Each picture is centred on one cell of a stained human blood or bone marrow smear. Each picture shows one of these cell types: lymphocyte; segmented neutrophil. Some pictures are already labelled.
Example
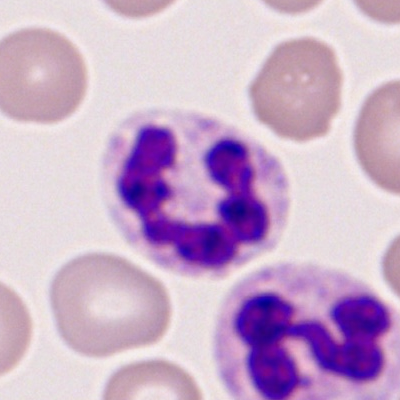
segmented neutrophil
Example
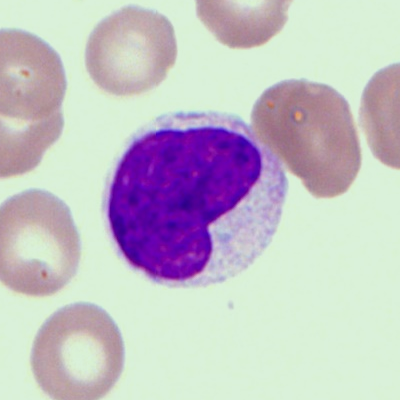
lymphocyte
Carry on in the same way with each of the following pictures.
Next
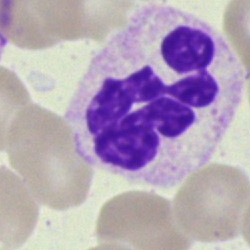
segmented neutrophil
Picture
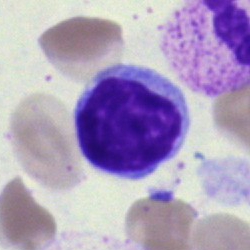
lymphocyte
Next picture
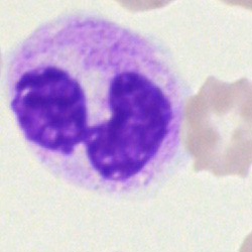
segmented neutrophil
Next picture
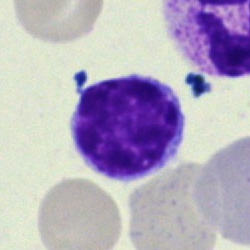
lymphocyte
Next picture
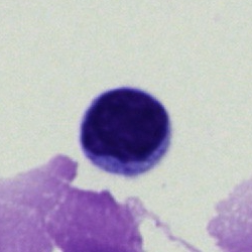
lymphocyte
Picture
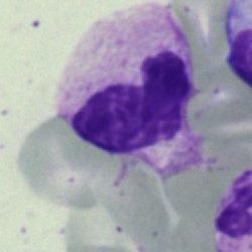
segmented neutrophil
